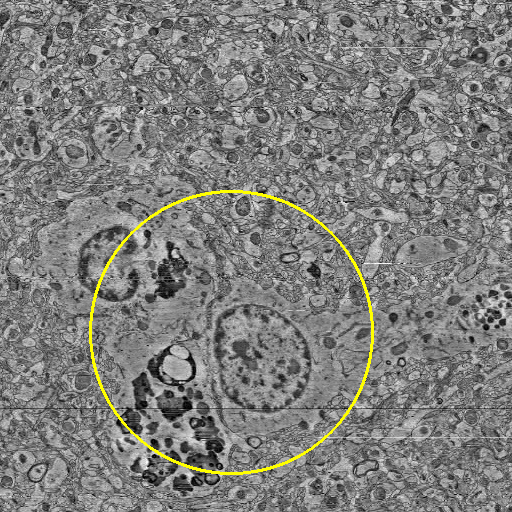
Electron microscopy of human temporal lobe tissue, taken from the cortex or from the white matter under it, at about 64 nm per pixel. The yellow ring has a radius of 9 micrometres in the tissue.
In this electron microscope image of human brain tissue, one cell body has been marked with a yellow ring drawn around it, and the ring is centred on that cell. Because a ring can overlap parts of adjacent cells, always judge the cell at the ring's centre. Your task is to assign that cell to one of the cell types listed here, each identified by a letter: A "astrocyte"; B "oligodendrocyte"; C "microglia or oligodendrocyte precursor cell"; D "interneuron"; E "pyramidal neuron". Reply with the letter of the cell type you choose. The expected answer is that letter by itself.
A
